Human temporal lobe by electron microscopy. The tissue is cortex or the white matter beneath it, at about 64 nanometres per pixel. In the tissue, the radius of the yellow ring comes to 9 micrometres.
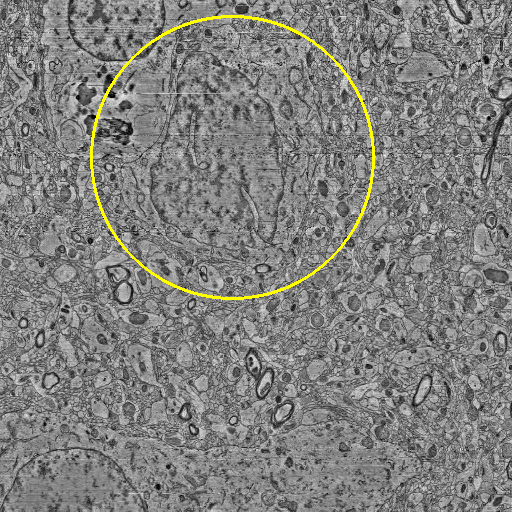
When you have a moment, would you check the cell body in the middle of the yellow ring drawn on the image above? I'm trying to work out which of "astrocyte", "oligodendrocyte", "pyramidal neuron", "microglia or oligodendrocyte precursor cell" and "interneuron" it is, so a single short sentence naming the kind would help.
This cell body belongs to an interneuron.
